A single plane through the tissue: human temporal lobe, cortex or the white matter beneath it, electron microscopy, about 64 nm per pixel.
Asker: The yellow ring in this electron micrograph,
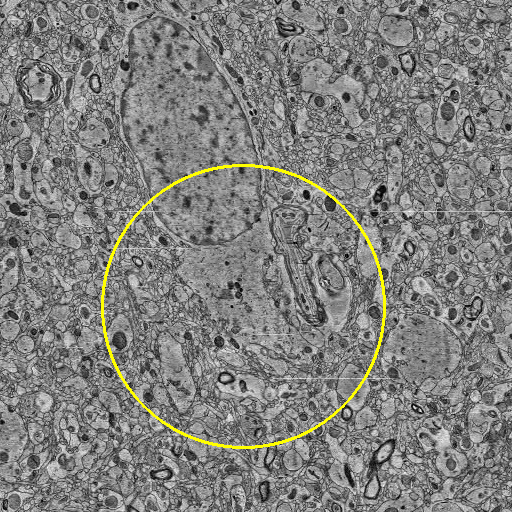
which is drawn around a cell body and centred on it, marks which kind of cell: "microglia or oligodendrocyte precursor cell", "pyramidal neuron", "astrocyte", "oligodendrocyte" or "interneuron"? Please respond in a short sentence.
The marked cell is a microglial cell or oligodendrocyte precursor cell.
